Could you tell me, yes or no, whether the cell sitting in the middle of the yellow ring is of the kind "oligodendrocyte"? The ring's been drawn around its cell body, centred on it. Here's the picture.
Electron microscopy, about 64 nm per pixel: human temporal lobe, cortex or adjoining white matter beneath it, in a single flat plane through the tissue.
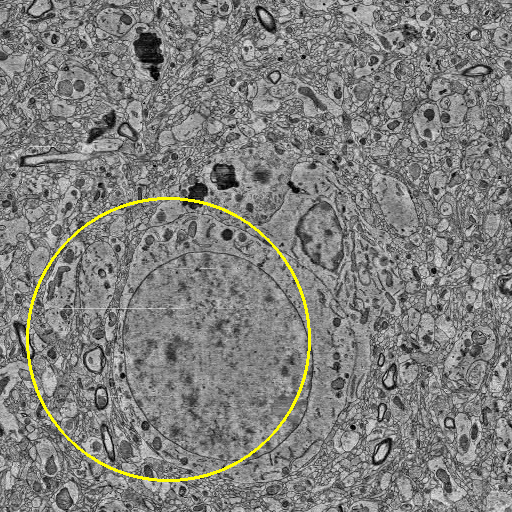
No, it is of another kind.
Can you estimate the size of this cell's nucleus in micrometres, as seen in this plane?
Approximately 14 by 12 micrometers in this plane.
